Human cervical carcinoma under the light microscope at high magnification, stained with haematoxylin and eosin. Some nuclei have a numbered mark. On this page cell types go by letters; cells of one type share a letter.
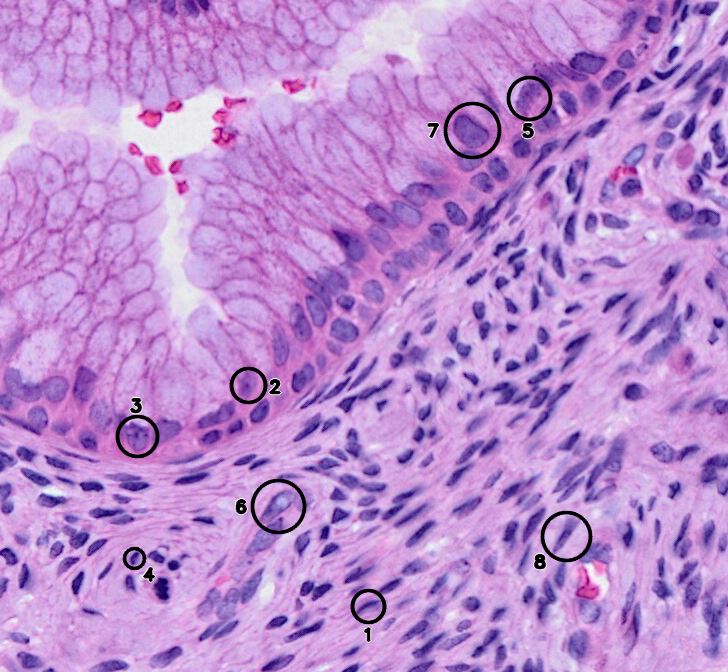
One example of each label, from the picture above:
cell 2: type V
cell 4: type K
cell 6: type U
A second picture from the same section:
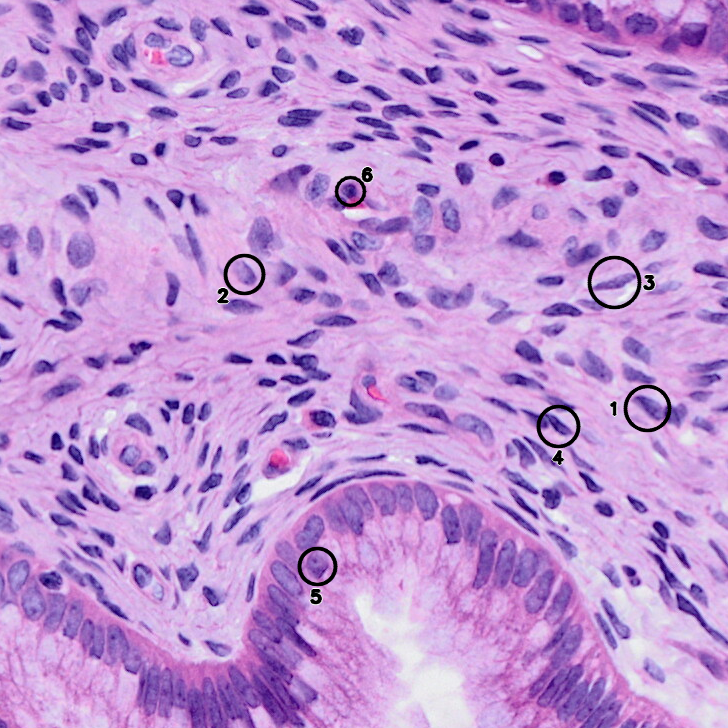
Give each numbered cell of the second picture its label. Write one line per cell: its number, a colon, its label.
1: type K
2: type K
3: type K
4: type K
5: type V
6: type U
